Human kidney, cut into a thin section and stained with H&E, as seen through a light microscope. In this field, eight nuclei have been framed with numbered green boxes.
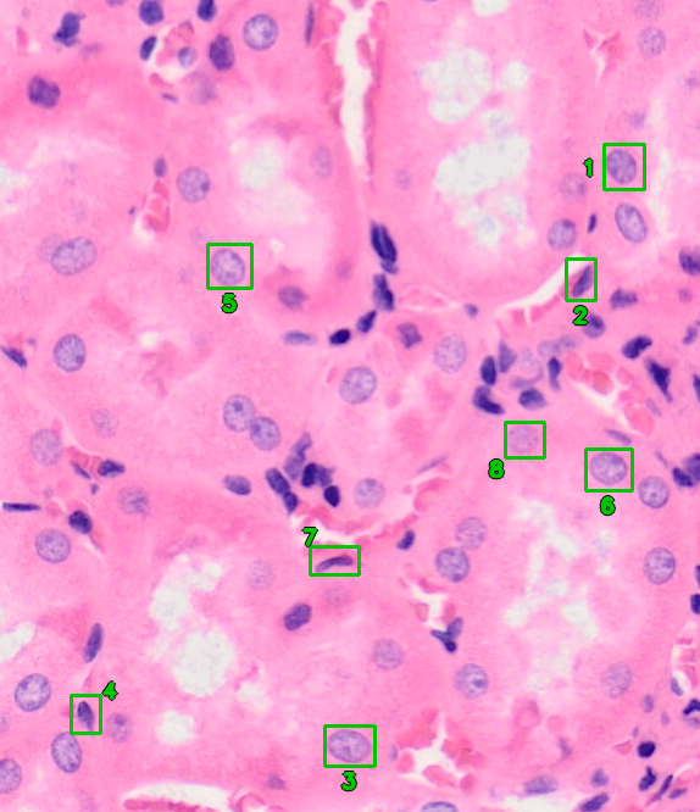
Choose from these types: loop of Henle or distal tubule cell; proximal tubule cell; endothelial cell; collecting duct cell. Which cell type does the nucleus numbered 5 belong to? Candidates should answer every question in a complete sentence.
The cell identified by number 5 is a proximal tubule cell.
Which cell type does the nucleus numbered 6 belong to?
The correct label for cell 6 is a proximal tubule cell.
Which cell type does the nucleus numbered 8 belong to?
Among the marked nuclei, number 8 belongs to a proximal tubule cell.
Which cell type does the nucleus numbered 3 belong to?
Recognised here as a proximal tubule cell is the cell numbered 3.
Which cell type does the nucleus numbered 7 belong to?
Identified by the number 7, the cell is an endothelial cell.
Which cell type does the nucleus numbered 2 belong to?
Cell number 2 in this section is an endothelial cell.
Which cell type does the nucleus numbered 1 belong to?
The cell pointed out by number 1 is a proximal tubule cell.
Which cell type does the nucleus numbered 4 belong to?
The cell carrying label 4 is identified as an endothelial cell.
